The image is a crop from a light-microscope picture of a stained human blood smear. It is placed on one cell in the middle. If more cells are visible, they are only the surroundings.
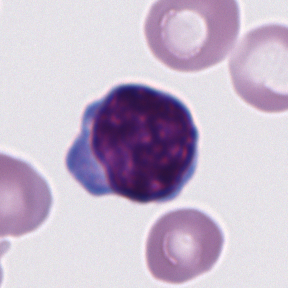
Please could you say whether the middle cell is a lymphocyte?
yes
